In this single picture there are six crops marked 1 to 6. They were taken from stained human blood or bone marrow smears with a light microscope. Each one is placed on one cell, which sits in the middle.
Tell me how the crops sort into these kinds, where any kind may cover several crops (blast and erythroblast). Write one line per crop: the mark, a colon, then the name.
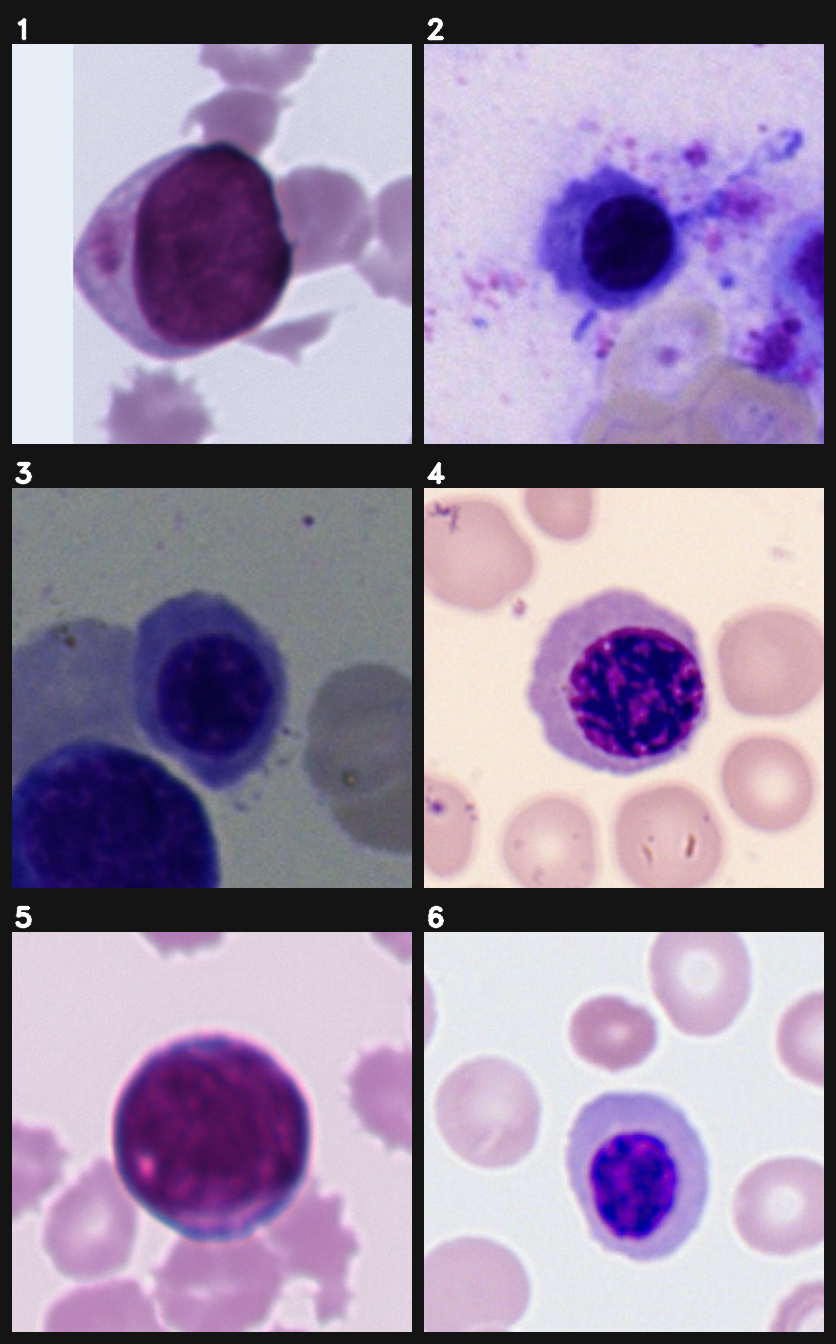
1: blast
2: erythroblast
3: erythroblast
4: erythroblast
5: blast
6: erythroblast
